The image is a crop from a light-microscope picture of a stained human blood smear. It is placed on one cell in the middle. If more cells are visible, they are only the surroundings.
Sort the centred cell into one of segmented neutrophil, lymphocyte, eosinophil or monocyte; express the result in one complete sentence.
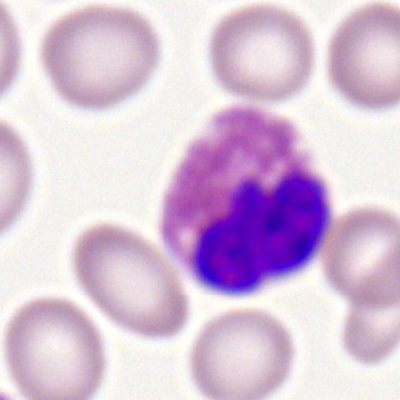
The middle of this crop is occupied by an eosinophil.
